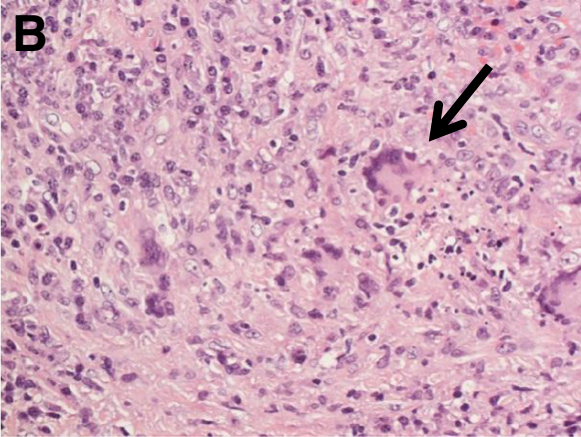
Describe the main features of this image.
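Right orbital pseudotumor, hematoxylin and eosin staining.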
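Granulomatous inflammation with a dense infiltrate of inflammatory cells, many with pale oval nuclei, set in pink stroma. Several large multinucleated giant cells with abundant pink cytoplasm and clustered dark nuclei lie scattered among them.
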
